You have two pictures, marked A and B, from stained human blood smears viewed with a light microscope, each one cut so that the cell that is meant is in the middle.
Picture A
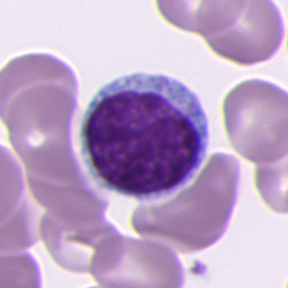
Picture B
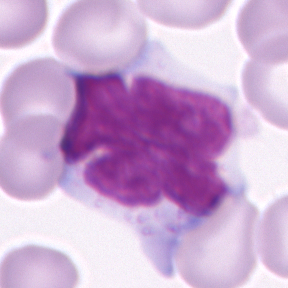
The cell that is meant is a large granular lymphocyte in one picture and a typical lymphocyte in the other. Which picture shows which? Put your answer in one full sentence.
Picture B shows a large granular lymphocyte, while picture A shows a typical lymphocyte.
